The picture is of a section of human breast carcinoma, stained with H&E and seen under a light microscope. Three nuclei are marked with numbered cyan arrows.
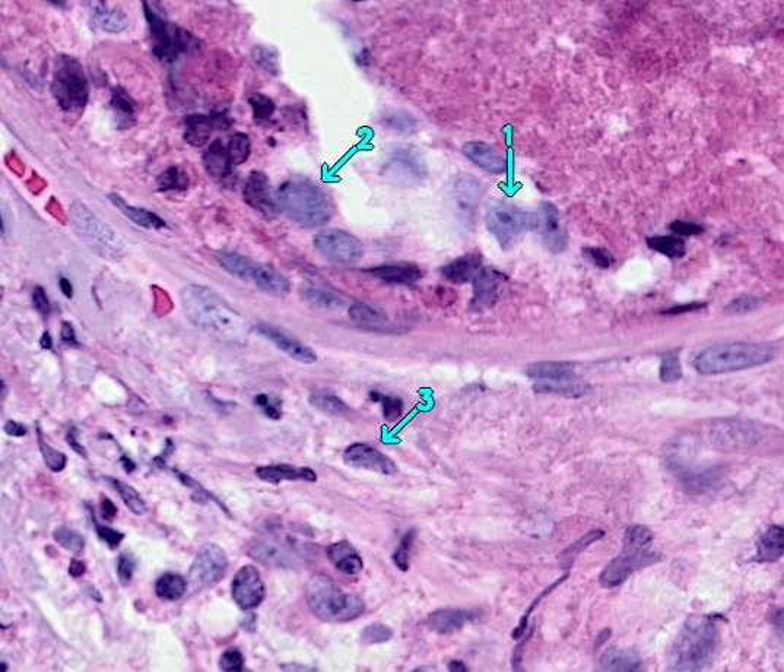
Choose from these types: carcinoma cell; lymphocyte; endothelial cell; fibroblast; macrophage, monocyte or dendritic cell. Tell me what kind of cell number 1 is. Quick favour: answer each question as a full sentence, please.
The numbered cell 1 in this field is a carcinoma cell.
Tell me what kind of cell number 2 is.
The cell numbered 2 represents a carcinoma cell.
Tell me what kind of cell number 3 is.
The cell referenced by the number 3 is a macrophage, monocyte or dendritic cell in this field.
